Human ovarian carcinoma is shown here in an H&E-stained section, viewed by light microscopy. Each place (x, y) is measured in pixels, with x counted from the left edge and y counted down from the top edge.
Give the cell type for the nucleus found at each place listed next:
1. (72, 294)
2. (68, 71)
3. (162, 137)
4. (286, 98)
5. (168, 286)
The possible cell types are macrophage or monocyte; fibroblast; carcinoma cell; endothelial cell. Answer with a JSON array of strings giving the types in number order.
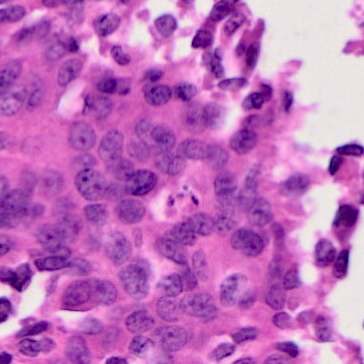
["carcinoma cell", "carcinoma cell", "carcinoma cell", "macrophage or monocyte", "macrophage or monocyte"]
